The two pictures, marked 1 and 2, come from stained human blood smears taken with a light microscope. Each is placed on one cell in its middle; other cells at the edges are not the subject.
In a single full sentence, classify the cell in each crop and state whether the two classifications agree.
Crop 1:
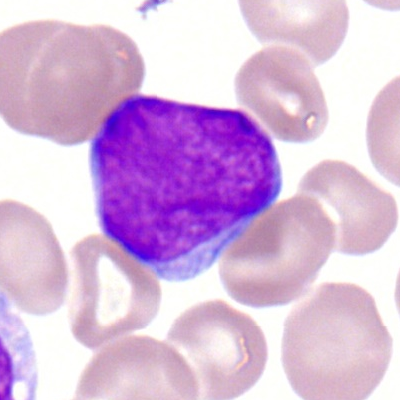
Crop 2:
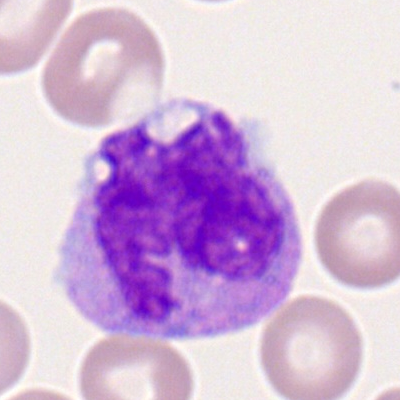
No, the cell that crop 1 shows is a myeloblast, and the one crop 2 shows is a monocyte.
